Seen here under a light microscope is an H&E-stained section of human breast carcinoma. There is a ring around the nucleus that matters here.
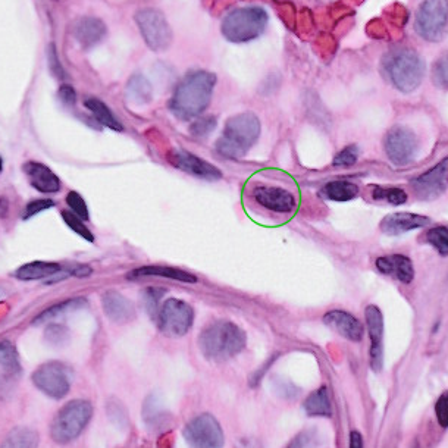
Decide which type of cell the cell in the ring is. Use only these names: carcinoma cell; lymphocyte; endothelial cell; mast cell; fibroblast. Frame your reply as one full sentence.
On this particular slide, the cell in the ring is a mast cell.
